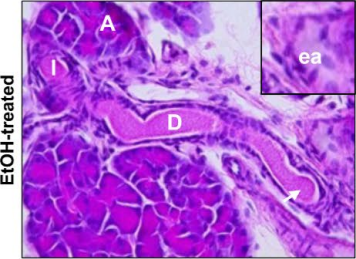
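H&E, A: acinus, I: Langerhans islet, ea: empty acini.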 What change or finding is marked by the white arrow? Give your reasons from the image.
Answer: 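An elongated duct runs through the connective tissue between lobules. Its lumen is filled with smooth pink material. The arrow points into the filled end of the duct.
Hence: ductal plugging.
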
